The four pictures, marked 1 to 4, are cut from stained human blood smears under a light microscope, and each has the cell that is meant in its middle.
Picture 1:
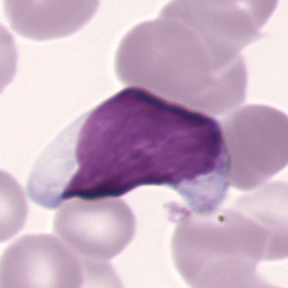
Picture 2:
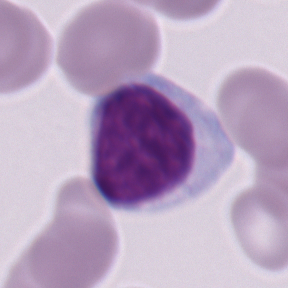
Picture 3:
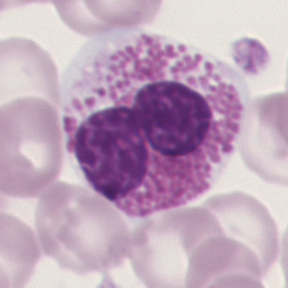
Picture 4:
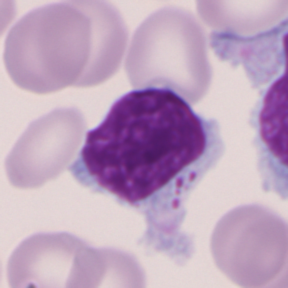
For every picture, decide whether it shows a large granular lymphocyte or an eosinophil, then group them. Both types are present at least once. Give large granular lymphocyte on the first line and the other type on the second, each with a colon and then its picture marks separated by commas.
large granular lymphocyte: 1, 2, 4
eosinophil: 3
